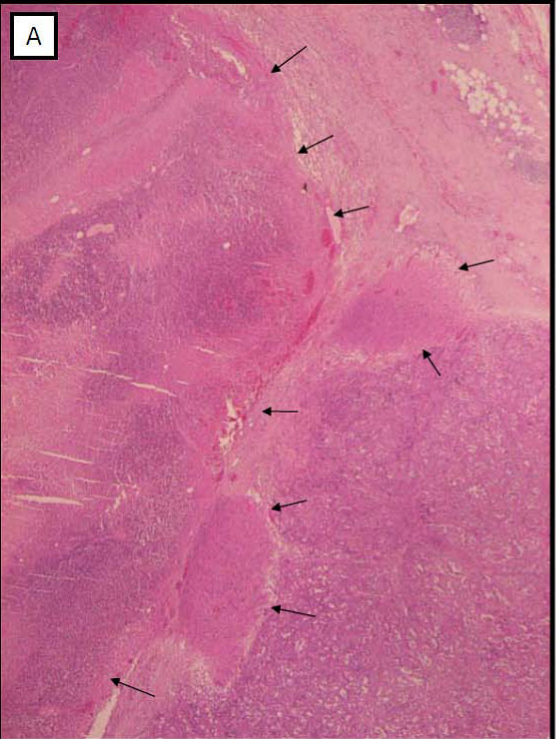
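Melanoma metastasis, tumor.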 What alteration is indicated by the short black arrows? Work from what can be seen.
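The arrows run along a band of pale pink, nucleus-poor tissue. Small red hemorrhagic foci and clefts lie along the band.
Conclusion: partial necrosis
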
